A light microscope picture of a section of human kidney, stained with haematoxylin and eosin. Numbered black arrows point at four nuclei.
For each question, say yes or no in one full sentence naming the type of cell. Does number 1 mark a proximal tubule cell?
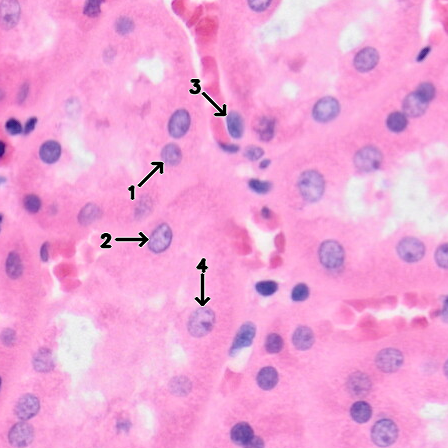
Yes, the nucleus numbered 1 belongs to a proximal tubule cell.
